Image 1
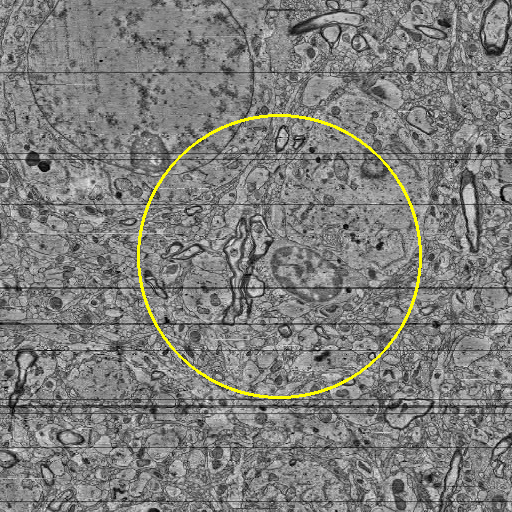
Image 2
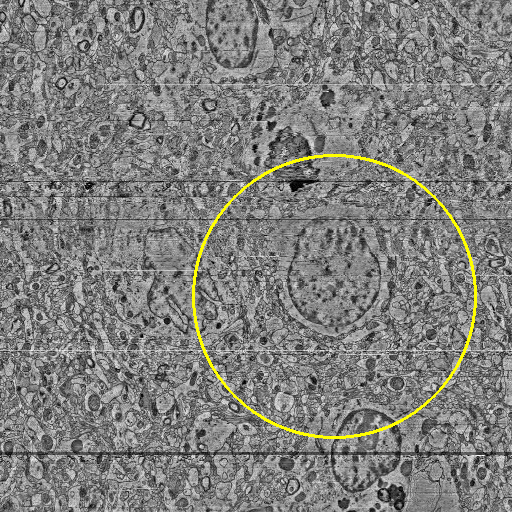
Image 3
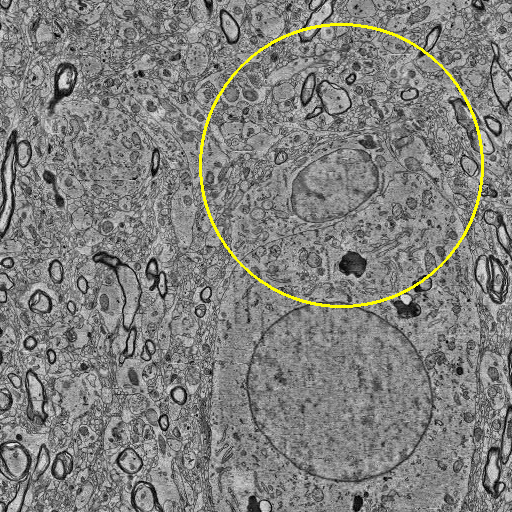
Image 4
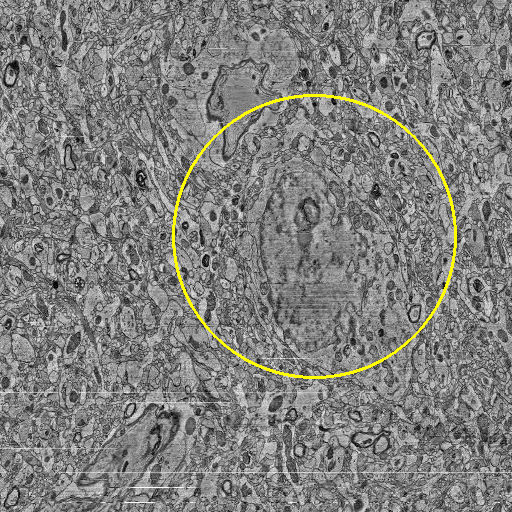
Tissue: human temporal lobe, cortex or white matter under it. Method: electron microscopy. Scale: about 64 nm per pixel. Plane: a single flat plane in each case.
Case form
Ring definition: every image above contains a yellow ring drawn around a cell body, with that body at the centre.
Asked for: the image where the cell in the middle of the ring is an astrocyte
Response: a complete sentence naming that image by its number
Image 2 is the one.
